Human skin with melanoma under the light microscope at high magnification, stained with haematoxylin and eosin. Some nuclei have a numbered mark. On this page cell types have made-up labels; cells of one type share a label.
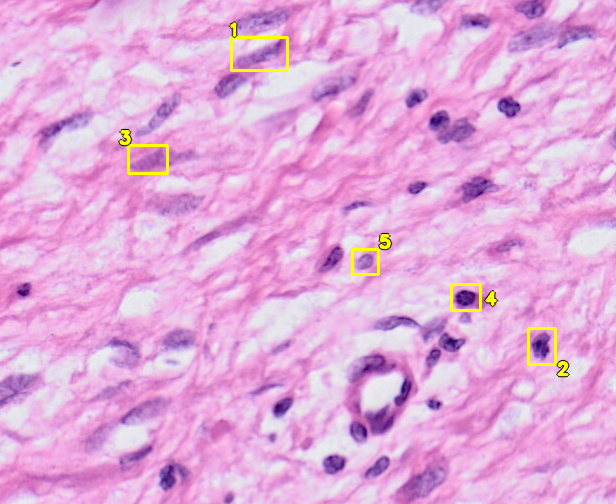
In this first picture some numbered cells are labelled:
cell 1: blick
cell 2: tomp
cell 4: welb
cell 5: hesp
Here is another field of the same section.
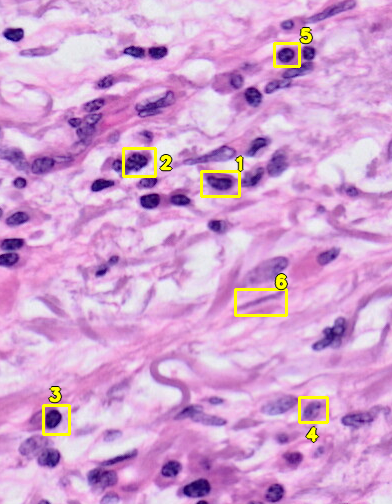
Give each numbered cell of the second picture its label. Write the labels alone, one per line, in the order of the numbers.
welb
welb
welb
hesp
welb
blick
